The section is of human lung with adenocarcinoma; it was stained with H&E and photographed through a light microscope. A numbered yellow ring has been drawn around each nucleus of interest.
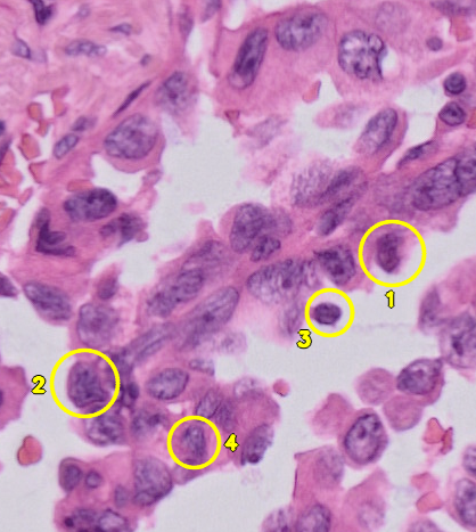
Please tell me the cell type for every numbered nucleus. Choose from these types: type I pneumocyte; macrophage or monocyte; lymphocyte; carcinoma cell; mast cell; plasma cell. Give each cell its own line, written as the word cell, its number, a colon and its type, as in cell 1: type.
cell 1: carcinoma cell
cell 2: carcinoma cell
cell 3: lymphocyte
cell 4: carcinoma cell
